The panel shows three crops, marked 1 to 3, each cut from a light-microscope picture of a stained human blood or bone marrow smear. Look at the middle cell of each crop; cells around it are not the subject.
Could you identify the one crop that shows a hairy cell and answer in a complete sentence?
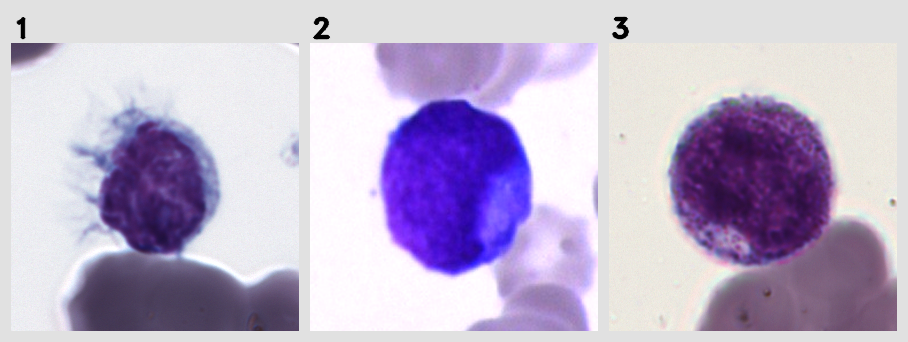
Identified crop: 1, the one that shows a hairy cell.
